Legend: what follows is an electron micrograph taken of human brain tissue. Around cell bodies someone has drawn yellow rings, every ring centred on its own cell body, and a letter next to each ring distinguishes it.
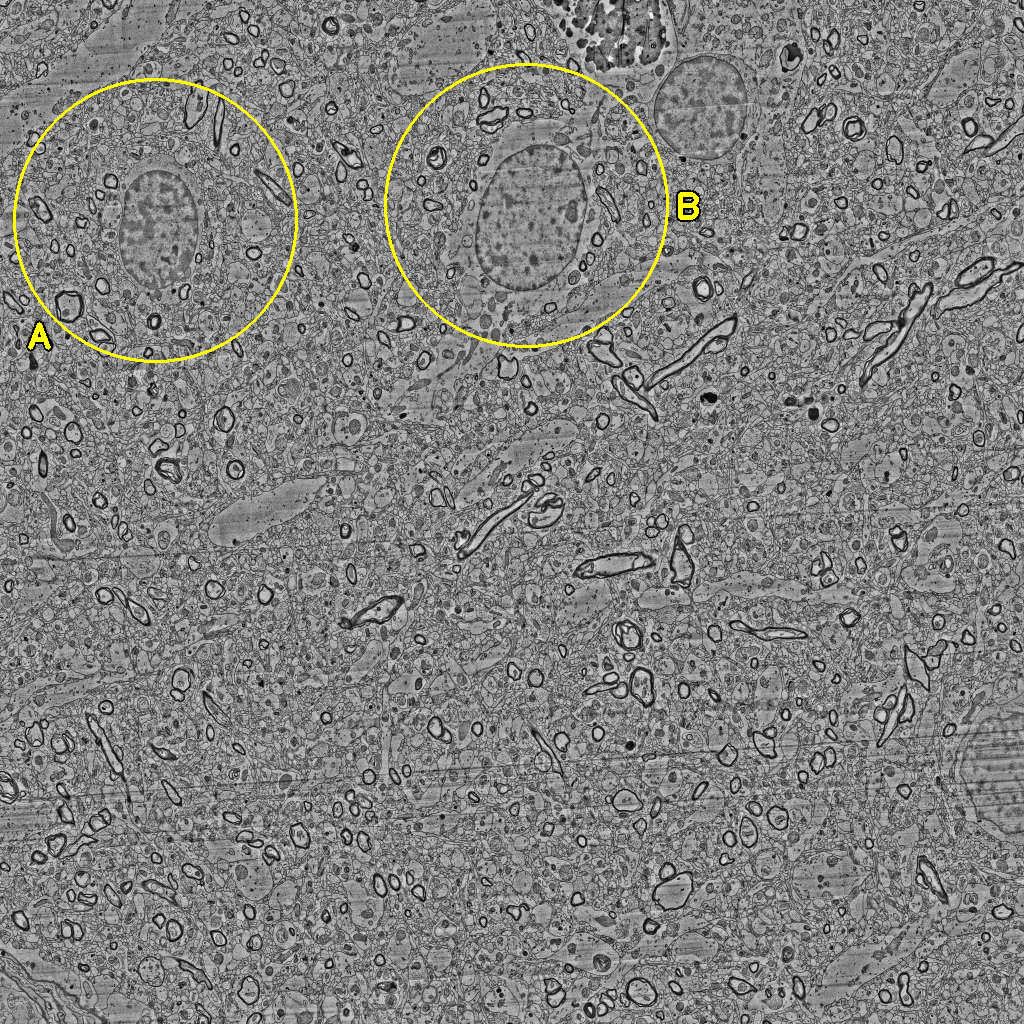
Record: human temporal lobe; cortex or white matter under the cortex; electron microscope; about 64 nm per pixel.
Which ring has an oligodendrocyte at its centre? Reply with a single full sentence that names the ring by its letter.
Ring A is the one centred on the cell asked for in the picture.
